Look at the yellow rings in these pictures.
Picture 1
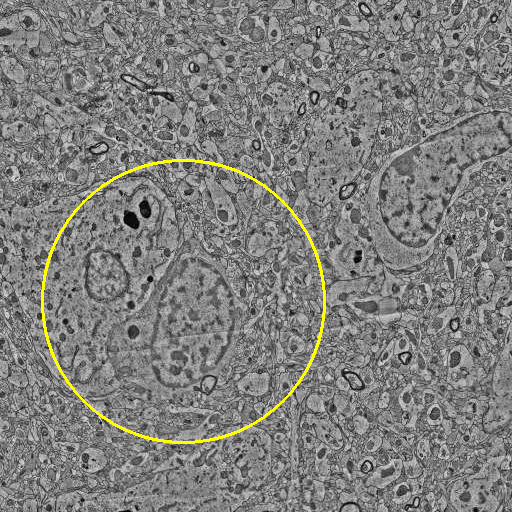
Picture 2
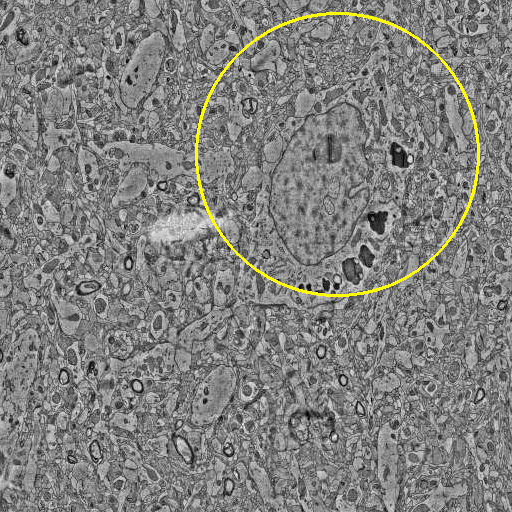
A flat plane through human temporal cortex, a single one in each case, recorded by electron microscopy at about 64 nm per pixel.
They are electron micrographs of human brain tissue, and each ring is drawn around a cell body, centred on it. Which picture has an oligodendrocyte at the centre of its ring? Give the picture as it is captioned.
Picture 1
